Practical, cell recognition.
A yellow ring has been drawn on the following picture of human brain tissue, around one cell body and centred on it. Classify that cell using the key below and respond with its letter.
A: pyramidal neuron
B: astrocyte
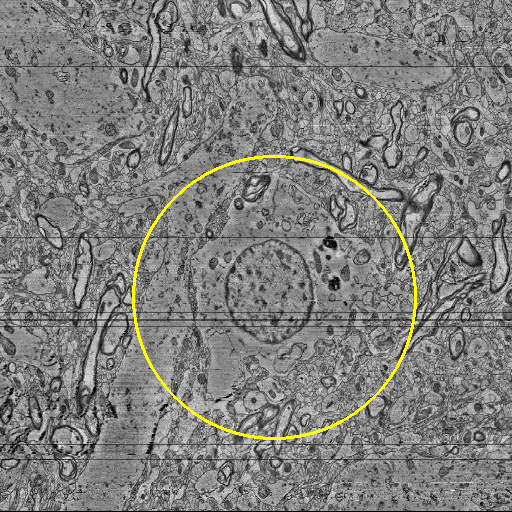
B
